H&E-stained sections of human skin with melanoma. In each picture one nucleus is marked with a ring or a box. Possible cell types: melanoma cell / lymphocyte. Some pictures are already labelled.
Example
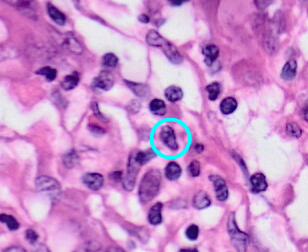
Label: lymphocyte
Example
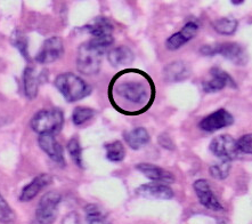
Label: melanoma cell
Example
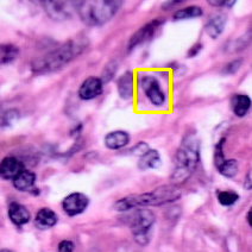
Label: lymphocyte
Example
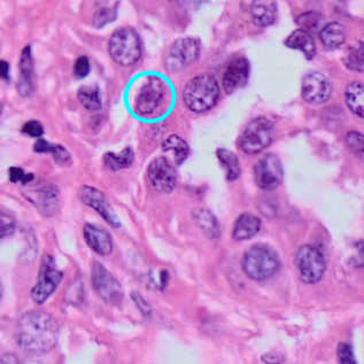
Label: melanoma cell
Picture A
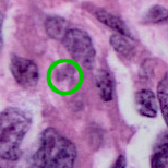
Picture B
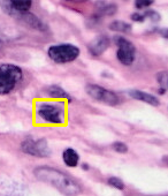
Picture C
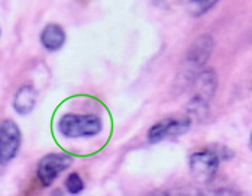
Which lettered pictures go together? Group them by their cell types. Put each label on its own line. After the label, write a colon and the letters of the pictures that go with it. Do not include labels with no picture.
melanoma cell: A
lymphocyte: B, C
